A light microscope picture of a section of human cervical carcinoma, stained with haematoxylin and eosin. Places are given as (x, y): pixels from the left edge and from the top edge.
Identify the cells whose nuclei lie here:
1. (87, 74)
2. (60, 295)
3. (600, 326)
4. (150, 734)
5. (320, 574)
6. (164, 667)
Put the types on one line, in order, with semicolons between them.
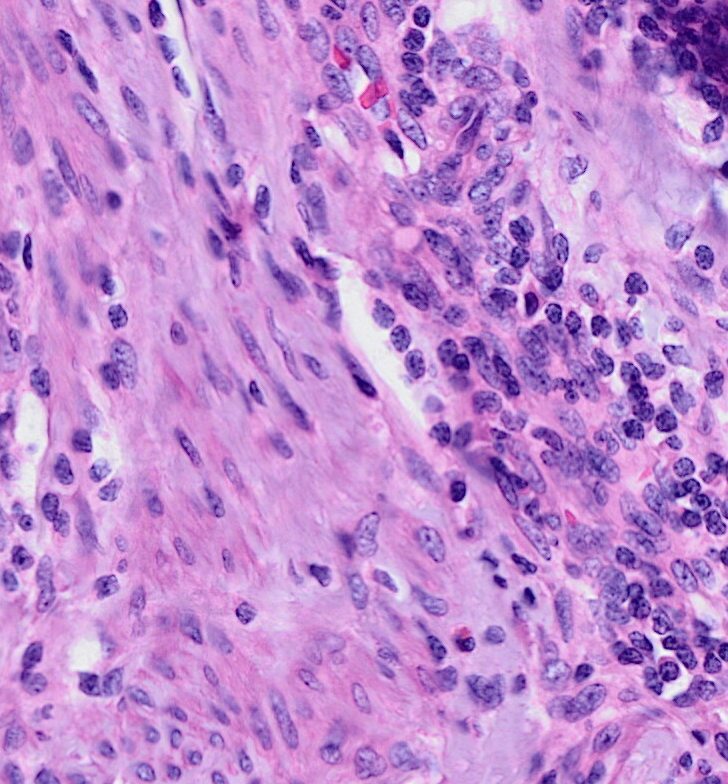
lymphocyte; fibroblast; lymphocyte; smooth muscle cell; lymphocyte; smooth muscle cell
